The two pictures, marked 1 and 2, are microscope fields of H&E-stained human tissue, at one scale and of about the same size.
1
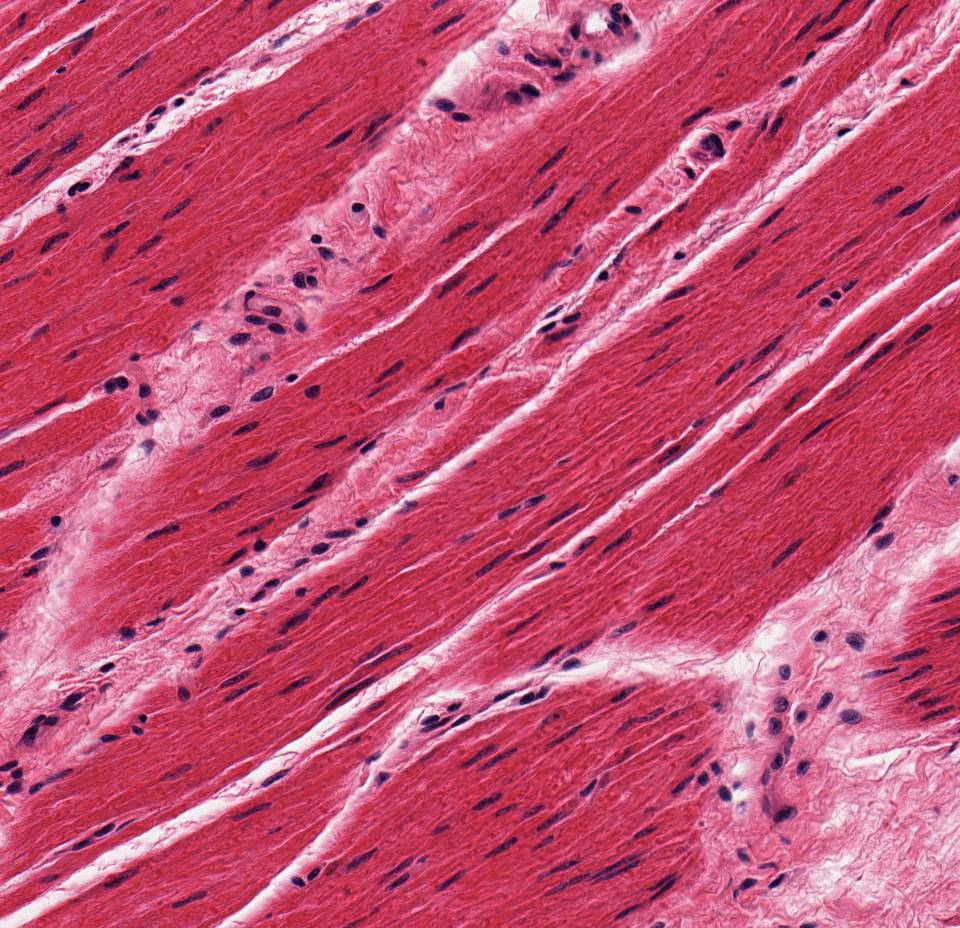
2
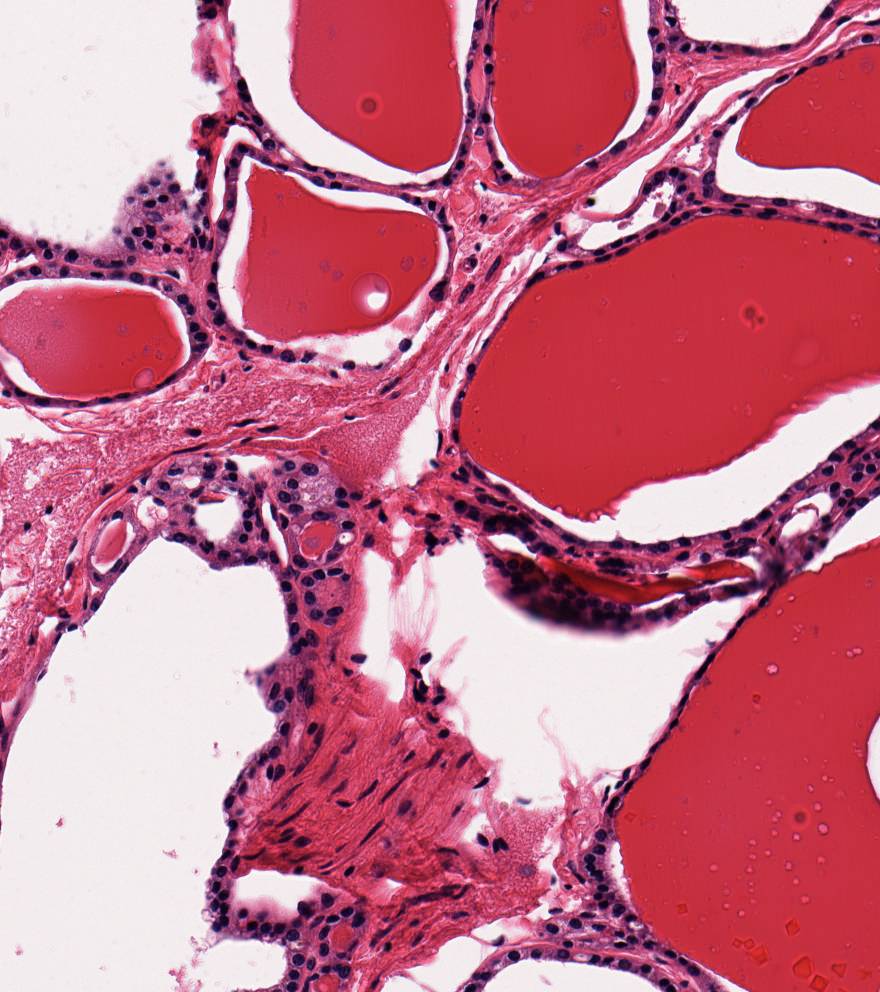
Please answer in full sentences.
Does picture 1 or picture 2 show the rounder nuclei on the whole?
It is picture 2 whose nuclei are the rounder.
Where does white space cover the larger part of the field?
Picture 2 has more white space.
